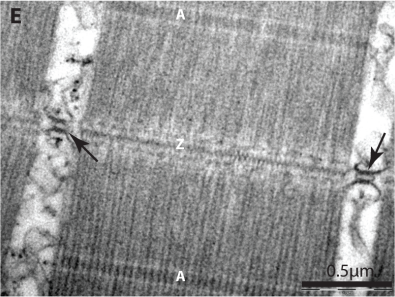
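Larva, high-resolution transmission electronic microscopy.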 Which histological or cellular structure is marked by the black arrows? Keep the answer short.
Triads.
